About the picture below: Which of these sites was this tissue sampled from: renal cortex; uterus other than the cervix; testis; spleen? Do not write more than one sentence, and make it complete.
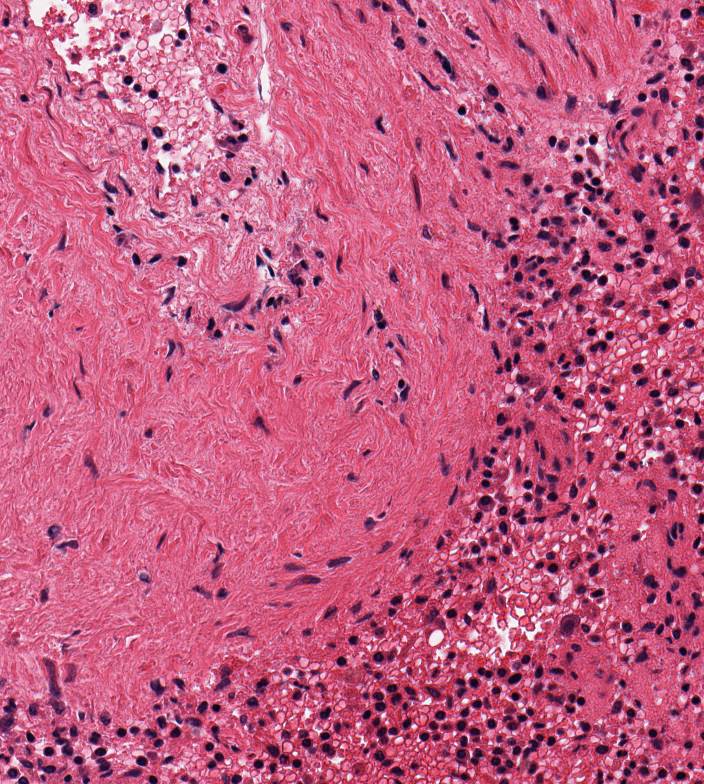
The sample used for this section is from the spleen.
